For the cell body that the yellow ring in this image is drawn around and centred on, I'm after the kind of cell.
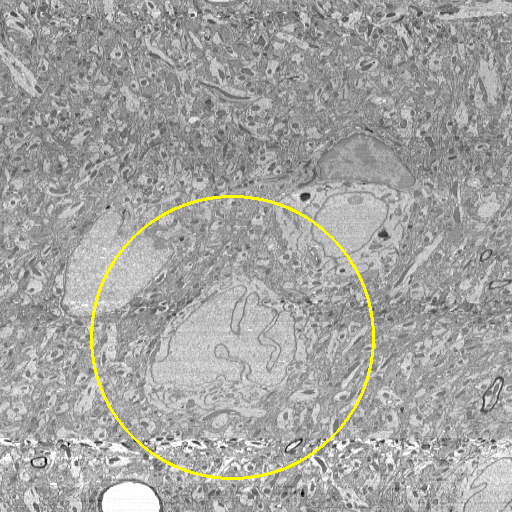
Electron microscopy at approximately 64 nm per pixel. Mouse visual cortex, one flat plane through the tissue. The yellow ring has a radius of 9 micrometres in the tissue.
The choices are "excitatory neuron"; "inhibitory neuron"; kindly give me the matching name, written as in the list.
inhibitory neuron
